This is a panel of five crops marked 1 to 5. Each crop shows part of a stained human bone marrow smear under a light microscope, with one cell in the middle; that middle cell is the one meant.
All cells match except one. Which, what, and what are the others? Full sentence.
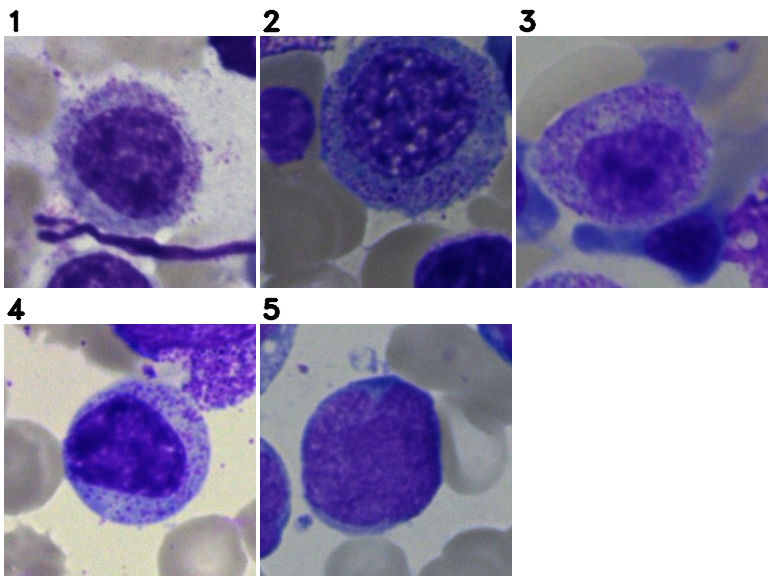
Crop 5 alone shows a blast; the other crops are all myelocytes.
